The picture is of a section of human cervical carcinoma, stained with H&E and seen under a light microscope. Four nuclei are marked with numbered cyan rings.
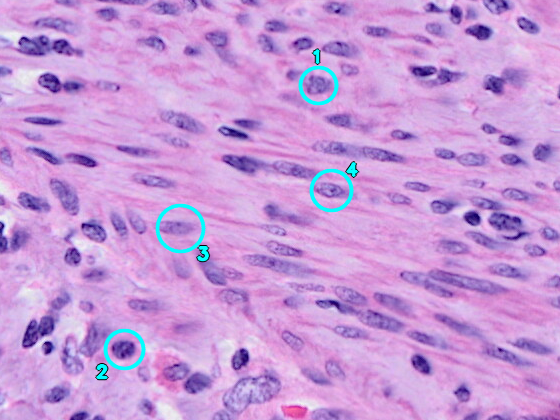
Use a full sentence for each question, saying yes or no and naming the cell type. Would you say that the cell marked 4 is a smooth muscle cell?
Yes, the cell that the number 4 labels is a smooth muscle cell.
